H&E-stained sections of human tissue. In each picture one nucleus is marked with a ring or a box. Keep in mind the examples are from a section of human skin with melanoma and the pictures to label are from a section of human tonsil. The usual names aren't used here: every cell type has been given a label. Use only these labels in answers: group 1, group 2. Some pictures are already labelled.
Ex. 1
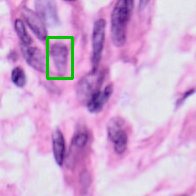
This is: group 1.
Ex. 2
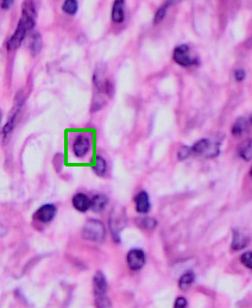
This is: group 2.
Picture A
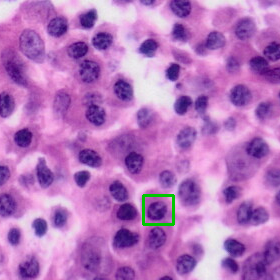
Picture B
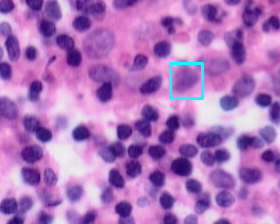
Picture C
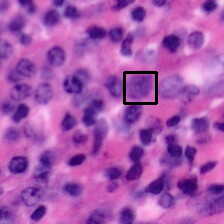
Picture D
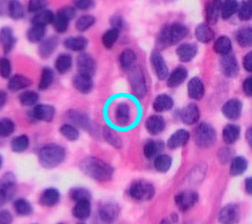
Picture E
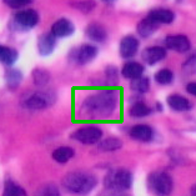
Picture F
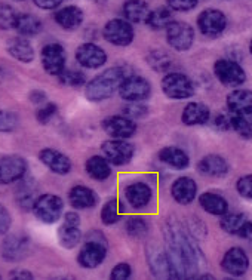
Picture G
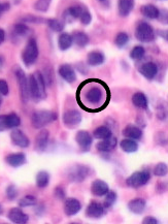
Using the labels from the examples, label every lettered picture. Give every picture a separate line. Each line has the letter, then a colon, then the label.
A: group 2.
B: group 1.
C: group 1.
D: group 1.
E: group 1.
F: group 2.
G: group 2.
